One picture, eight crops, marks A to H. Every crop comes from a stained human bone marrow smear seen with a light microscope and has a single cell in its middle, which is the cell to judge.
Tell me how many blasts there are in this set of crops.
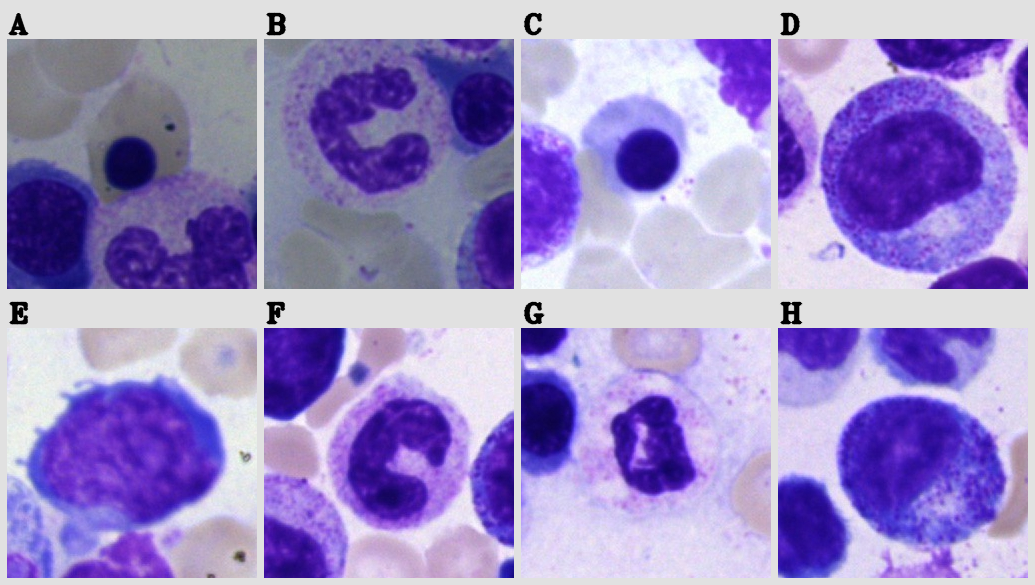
1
